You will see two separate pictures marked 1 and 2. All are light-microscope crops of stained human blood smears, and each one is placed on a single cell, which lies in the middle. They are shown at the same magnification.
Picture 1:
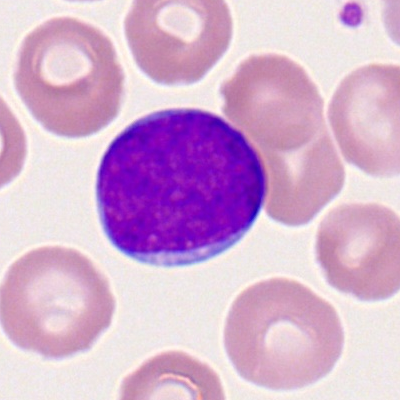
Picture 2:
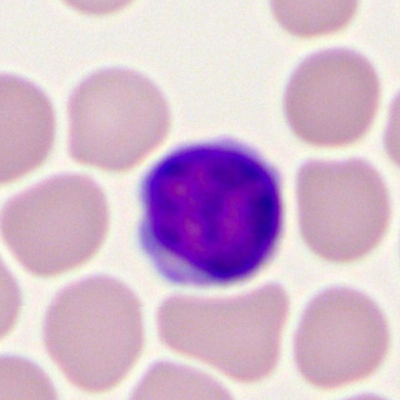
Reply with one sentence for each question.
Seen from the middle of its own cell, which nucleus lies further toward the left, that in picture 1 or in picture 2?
Seen within its cell, the nucleus in picture 1 lies further toward the left.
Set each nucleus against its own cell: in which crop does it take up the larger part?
Of the two, the nucleus in picture 2 makes up the greater part of its cell.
